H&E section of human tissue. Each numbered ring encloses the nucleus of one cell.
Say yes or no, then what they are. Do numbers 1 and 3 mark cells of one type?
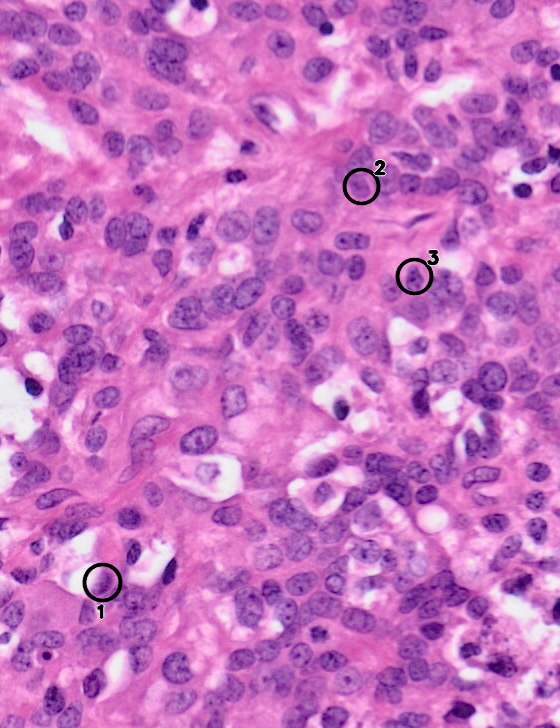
No, the correct reading has cell 1 as a carcinoma cell and cell 3 as a macrophage or monocyte.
